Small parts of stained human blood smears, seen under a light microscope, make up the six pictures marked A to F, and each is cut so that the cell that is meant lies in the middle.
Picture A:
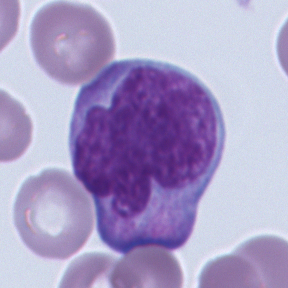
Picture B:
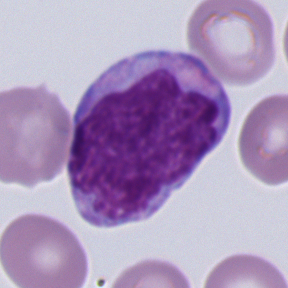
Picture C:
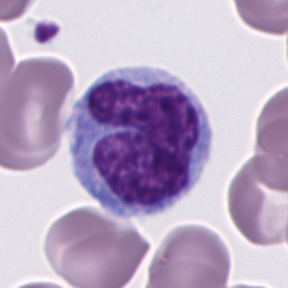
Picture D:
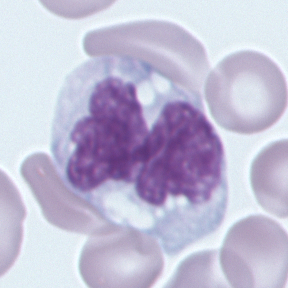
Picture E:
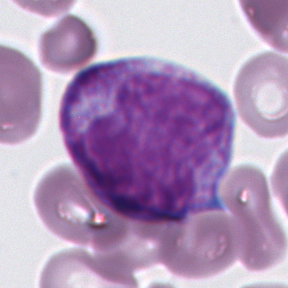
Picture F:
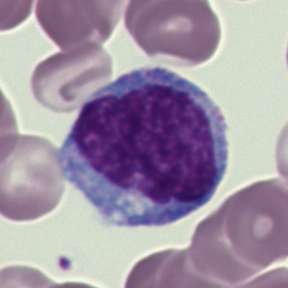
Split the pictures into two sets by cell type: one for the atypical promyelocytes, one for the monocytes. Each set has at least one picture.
A: atypical promyelocyte
B: atypical promyelocyte
C: monocyte
D: monocyte
E: atypical promyelocyte
F: monocyte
